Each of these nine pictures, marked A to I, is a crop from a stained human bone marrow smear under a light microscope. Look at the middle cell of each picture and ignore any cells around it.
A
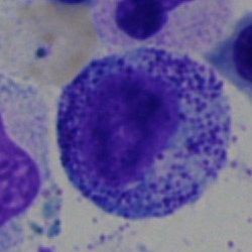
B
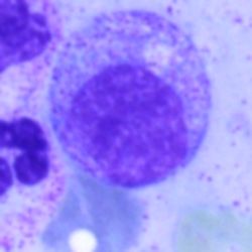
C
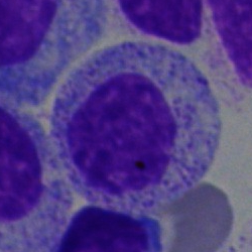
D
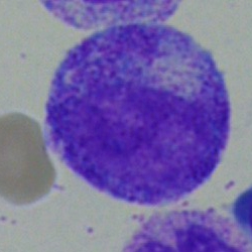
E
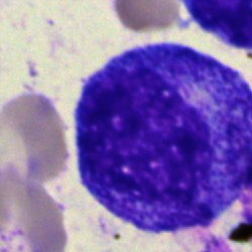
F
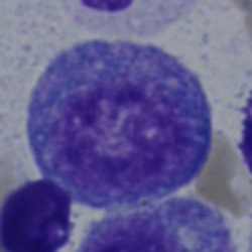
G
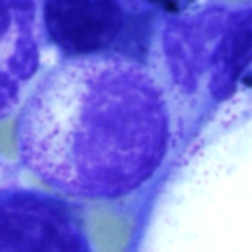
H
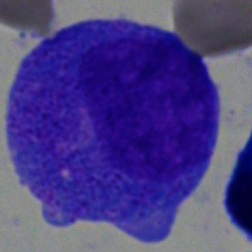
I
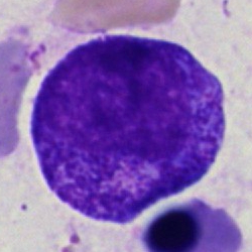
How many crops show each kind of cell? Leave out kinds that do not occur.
promyelocyte: 6
myelocyte: 3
